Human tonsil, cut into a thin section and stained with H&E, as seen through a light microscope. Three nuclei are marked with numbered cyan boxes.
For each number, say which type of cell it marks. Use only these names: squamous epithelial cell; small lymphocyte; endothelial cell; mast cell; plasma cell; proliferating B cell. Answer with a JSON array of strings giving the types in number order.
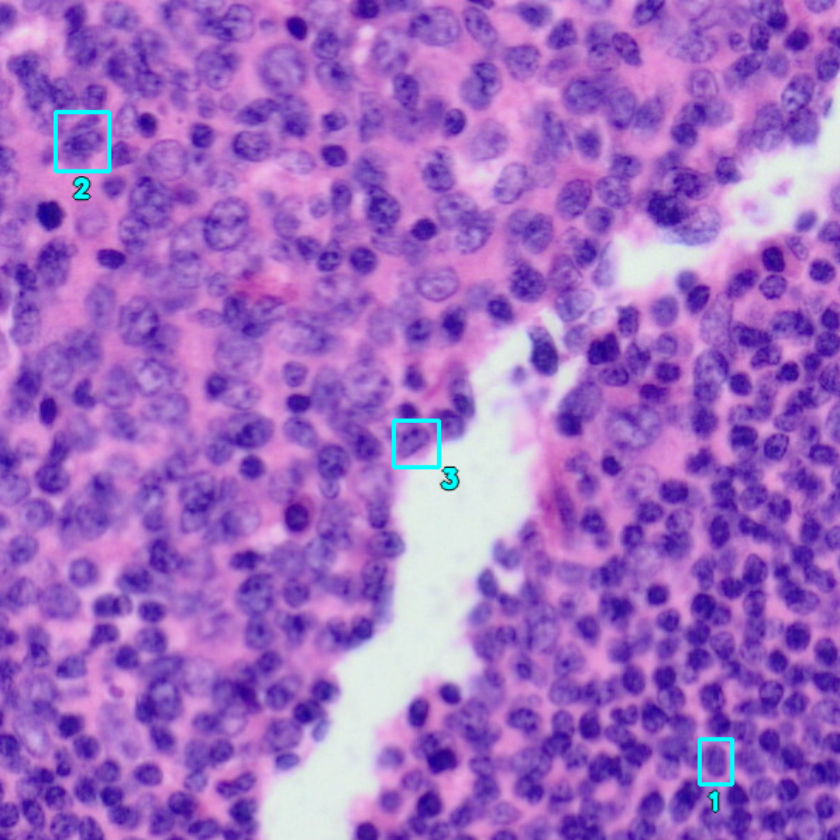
["small lymphocyte", "proliferating B cell", "proliferating B cell"]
